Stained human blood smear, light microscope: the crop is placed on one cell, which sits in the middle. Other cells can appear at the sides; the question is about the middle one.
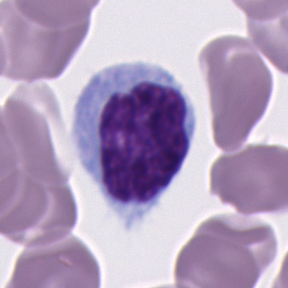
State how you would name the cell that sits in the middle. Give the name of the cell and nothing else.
monocyte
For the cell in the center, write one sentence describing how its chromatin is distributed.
The chromatin within its nucleus forms coarse clumps.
